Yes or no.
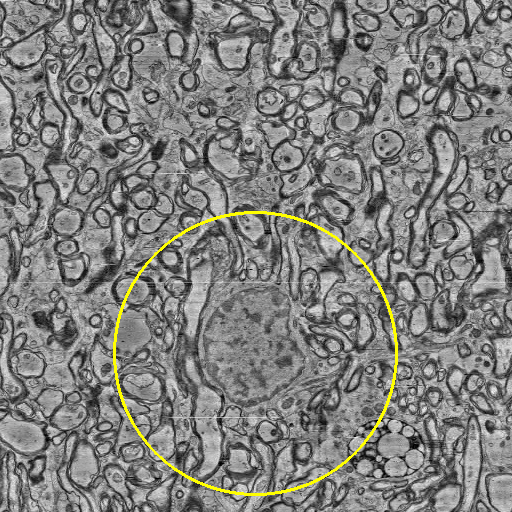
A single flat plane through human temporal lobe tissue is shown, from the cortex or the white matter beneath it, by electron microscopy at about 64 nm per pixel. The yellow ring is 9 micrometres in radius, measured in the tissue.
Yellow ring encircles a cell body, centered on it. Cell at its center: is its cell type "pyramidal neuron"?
no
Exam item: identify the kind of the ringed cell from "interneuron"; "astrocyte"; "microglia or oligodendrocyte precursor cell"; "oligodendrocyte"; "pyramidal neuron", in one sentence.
At the centre of the ring sits an oligodendrocyte.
